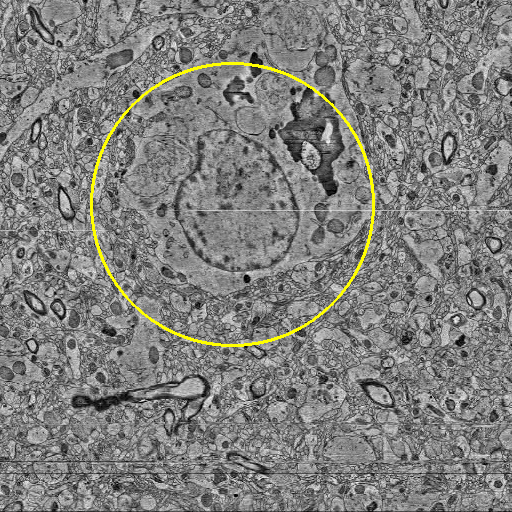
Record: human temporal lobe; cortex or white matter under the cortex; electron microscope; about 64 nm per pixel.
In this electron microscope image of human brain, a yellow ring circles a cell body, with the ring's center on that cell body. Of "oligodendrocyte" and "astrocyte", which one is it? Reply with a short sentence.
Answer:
It is an astrocyte at the center of the ring.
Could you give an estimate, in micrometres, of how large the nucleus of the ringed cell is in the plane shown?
The nucleus is approximately 10 micrometers long by 7 micrometers wide in this plane.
